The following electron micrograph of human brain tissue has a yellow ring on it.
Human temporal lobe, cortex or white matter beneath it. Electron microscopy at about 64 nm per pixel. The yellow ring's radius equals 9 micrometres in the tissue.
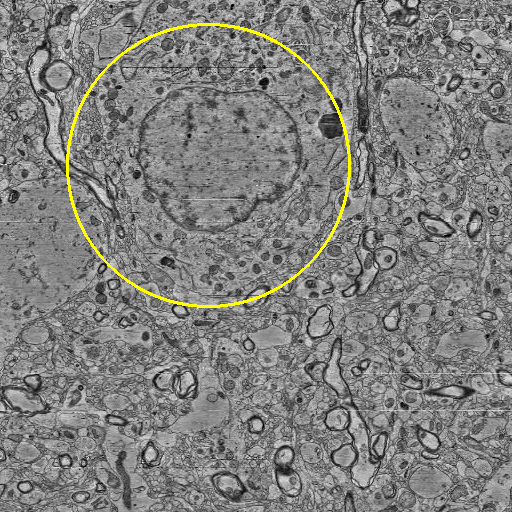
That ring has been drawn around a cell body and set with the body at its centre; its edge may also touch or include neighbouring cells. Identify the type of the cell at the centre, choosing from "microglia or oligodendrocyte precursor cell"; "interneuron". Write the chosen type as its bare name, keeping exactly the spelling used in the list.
interneuron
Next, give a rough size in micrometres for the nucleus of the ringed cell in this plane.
The nucleus comes to roughly 10 micrometres across in this plane.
